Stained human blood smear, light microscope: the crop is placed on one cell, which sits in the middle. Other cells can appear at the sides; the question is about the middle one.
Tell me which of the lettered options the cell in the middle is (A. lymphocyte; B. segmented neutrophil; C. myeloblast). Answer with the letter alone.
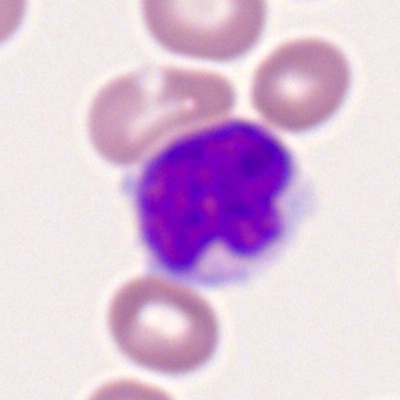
A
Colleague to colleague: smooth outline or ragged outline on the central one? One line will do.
No projections interrupt the outline; it is smooth all the way round.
